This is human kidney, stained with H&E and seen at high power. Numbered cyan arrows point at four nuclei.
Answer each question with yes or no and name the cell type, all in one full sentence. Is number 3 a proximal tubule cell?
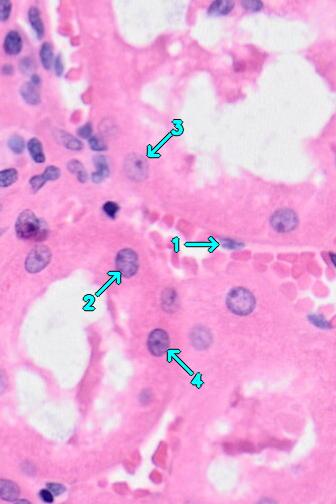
Yes, the cell that goes by number 3 is a proximal tubule cell.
